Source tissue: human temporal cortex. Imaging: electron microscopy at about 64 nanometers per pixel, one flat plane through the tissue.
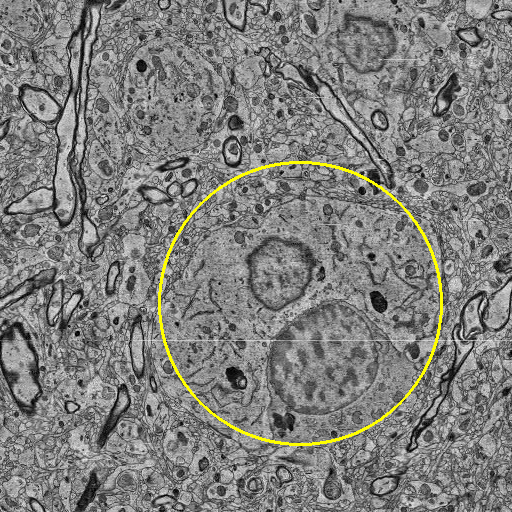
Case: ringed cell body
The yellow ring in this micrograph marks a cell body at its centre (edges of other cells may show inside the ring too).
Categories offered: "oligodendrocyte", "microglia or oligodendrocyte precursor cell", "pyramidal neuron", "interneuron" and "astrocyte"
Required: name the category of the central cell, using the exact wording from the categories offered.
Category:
oligodendrocyte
